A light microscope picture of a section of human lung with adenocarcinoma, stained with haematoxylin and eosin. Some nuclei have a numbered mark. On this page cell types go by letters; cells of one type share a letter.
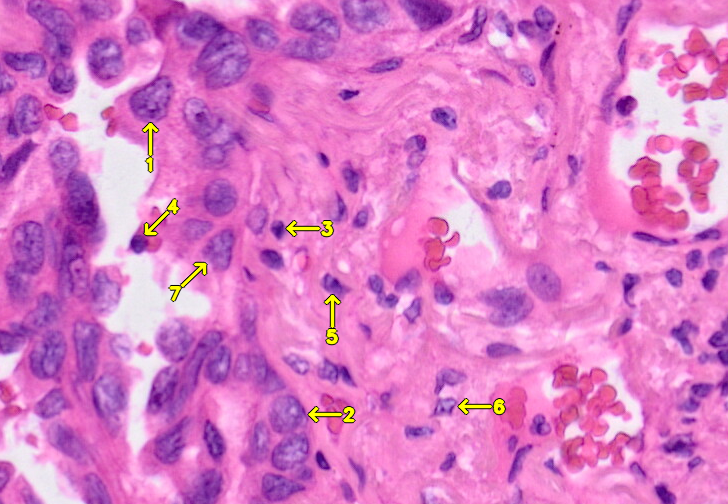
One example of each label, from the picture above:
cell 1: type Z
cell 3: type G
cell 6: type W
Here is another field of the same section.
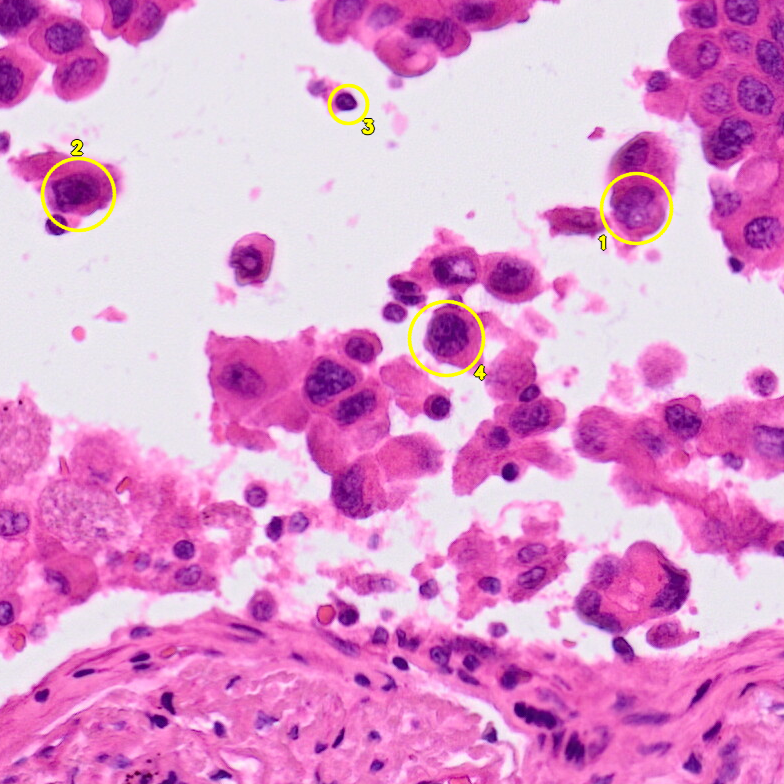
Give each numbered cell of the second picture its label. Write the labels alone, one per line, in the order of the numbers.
type Z
type Z
type G
type Z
